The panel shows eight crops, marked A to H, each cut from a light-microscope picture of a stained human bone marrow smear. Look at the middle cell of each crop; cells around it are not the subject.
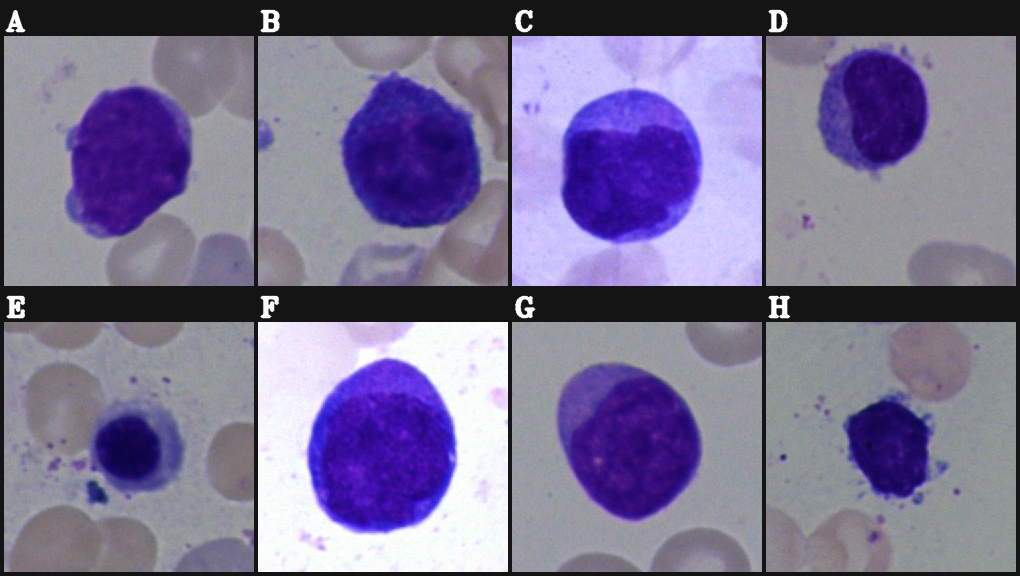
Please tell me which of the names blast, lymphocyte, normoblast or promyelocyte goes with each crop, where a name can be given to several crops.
A: blast
B: promyelocyte
C: blast
D: lymphocyte
E: normoblast
F: blast
G: blast
H: lymphocyte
